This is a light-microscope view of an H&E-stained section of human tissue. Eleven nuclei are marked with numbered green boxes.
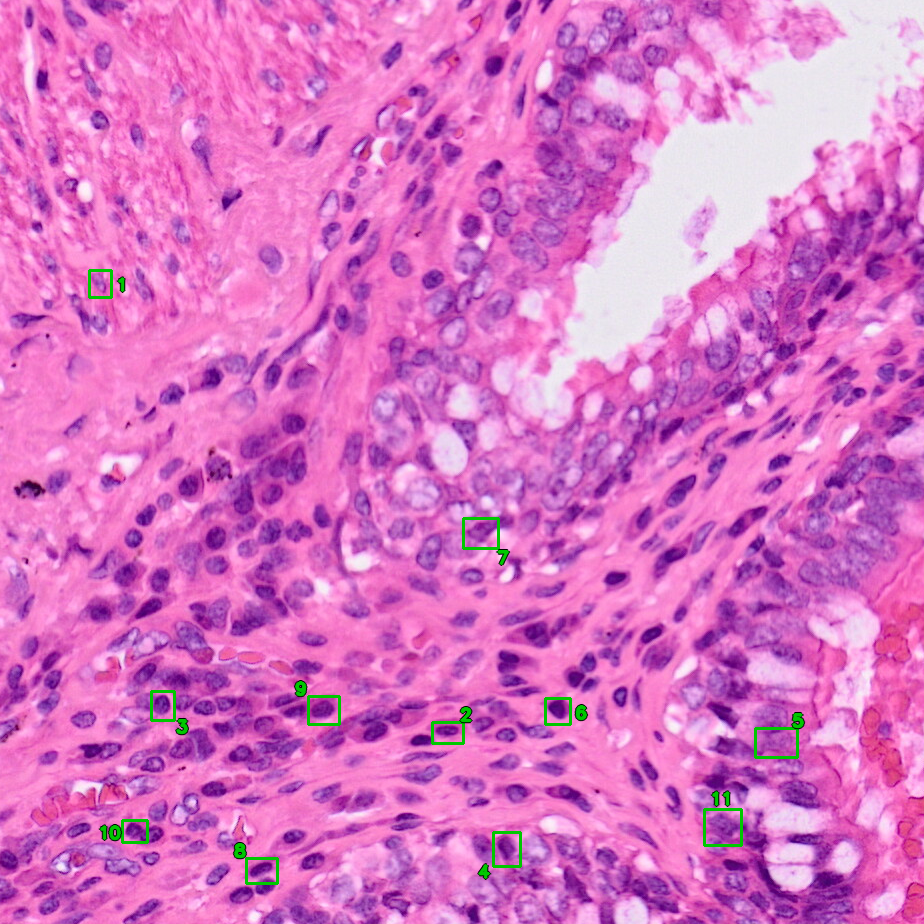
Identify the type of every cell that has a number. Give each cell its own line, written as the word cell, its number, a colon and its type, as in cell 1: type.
cell 1: smooth muscle cell or pericyte
cell 2: plasma cell
cell 3: lymphocyte
cell 4: ciliated epithelial cell
cell 5: ciliated epithelial cell
cell 6: plasma cell
cell 7: ciliated epithelial cell
cell 8: plasma cell
cell 9: plasma cell
cell 10: plasma cell
cell 11: ciliated epithelial cell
